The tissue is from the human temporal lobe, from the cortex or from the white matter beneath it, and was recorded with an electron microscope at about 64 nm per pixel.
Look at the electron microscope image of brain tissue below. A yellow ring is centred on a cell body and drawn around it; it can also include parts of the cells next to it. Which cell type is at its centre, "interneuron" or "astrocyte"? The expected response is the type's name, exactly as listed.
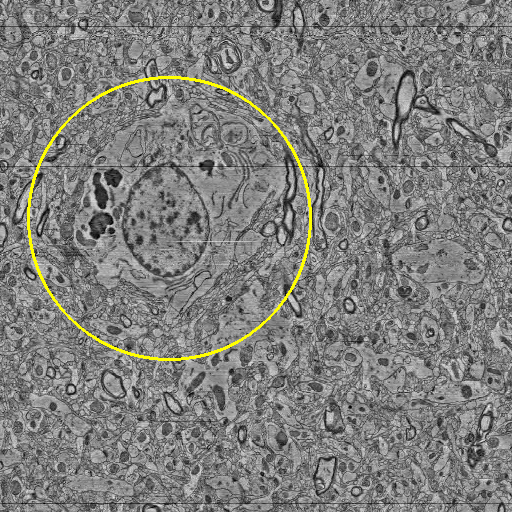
astrocyte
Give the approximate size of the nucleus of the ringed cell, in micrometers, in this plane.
Roughly 7 by 6 micrometres in this plane, for the nucleus of the ringed cell.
